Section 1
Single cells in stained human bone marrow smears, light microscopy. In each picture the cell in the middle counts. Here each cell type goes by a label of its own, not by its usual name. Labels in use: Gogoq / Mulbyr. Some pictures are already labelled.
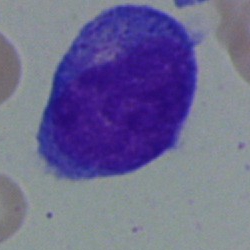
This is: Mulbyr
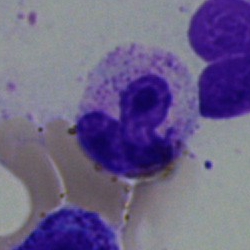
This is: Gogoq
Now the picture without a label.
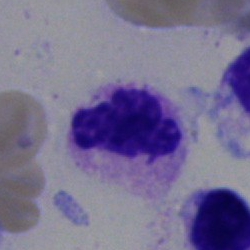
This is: Gogoq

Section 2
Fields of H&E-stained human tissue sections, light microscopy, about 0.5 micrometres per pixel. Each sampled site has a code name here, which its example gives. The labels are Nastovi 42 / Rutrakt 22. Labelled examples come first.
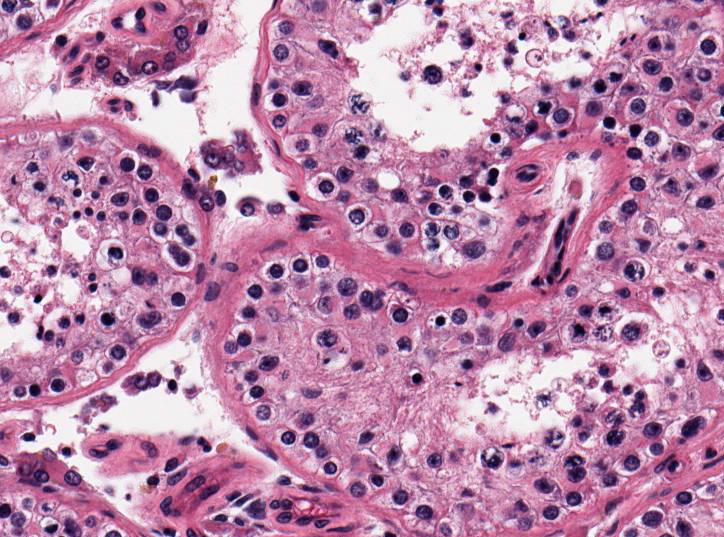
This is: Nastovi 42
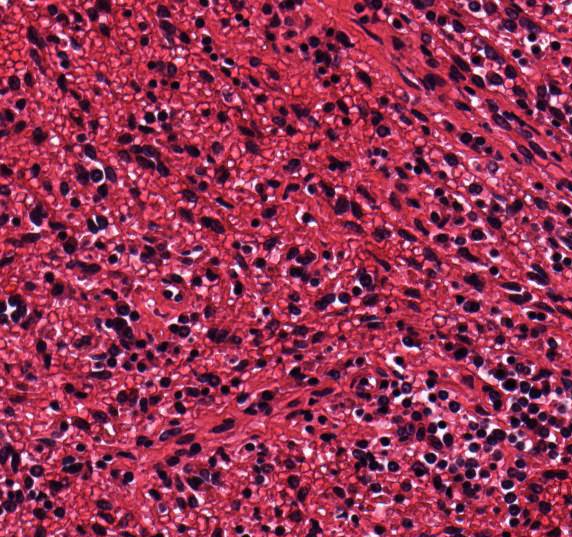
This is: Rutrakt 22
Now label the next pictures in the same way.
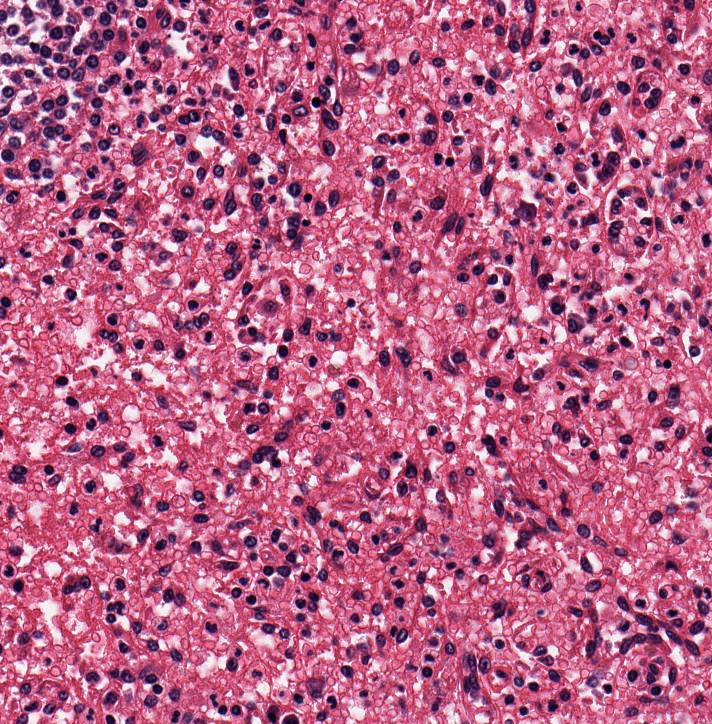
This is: Rutrakt 22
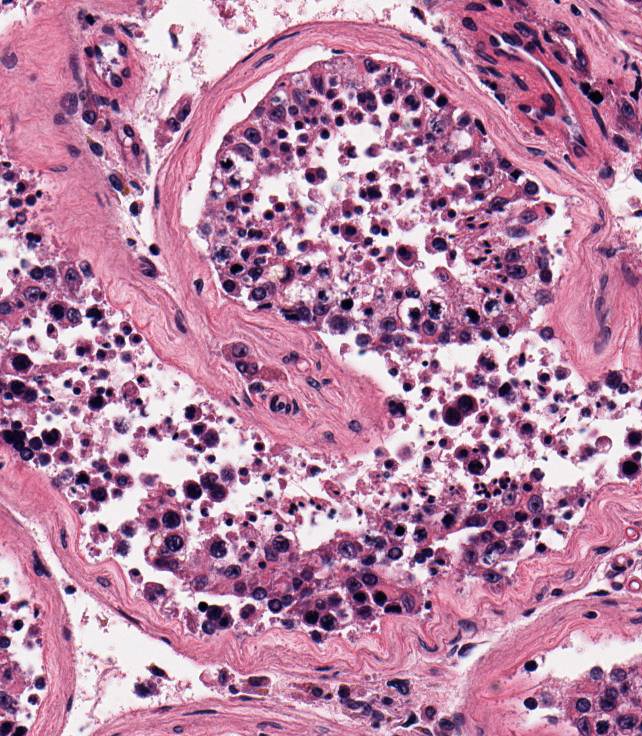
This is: Nastovi 42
